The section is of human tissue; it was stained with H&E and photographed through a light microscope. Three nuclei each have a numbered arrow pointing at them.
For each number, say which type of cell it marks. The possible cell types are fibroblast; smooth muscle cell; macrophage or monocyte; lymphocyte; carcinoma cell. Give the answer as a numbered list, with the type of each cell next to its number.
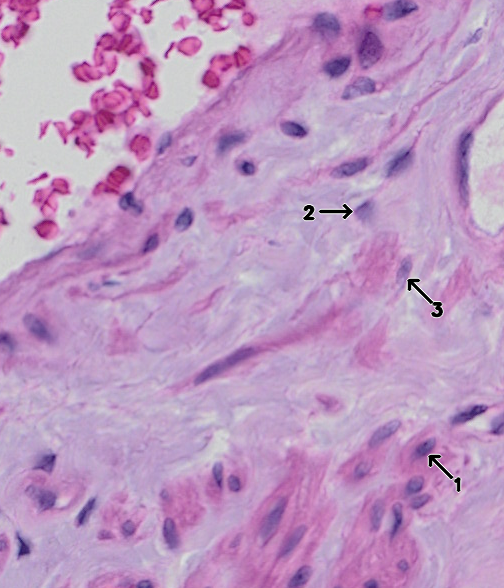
1. smooth muscle cell
2. fibroblast
3. smooth muscle cell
